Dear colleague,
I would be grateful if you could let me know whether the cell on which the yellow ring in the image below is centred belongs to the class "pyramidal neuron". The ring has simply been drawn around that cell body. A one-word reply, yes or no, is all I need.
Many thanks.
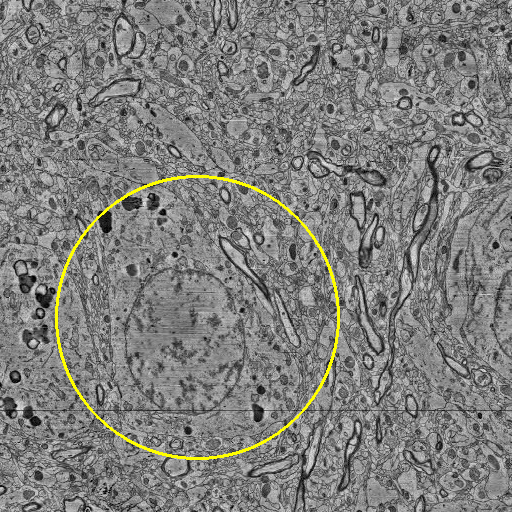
yes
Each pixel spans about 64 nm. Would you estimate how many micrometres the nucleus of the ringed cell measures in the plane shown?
The nucleus works out at approximately 10 by 8 micrometres in this plane.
